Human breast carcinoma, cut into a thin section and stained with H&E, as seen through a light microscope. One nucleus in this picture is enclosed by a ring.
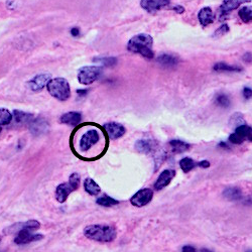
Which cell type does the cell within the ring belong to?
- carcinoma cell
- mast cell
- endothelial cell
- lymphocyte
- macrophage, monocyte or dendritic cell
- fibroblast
lymphocyte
